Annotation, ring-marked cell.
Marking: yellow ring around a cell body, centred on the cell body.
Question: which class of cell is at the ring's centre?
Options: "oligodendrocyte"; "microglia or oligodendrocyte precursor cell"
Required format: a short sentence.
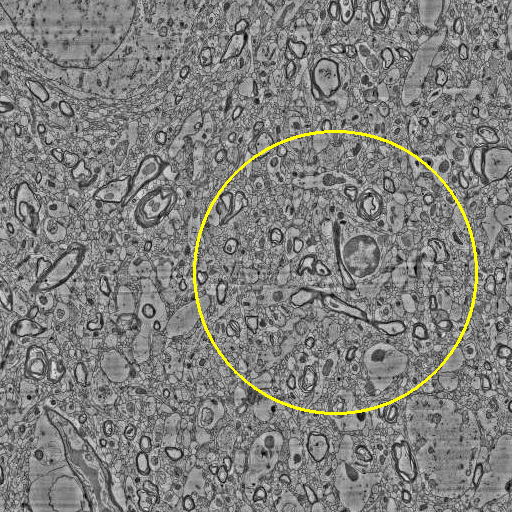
At the ring's centre is a microglial cell or oligodendrocyte precursor cell.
